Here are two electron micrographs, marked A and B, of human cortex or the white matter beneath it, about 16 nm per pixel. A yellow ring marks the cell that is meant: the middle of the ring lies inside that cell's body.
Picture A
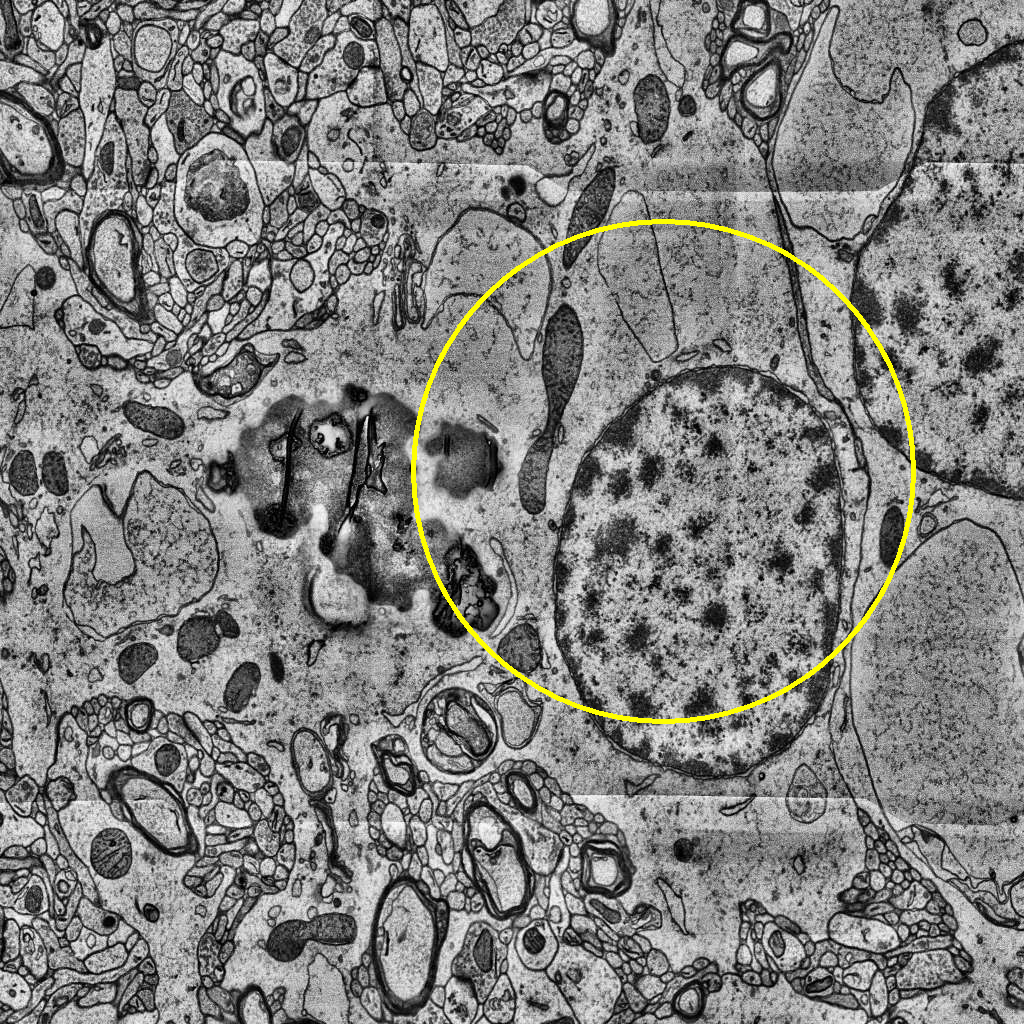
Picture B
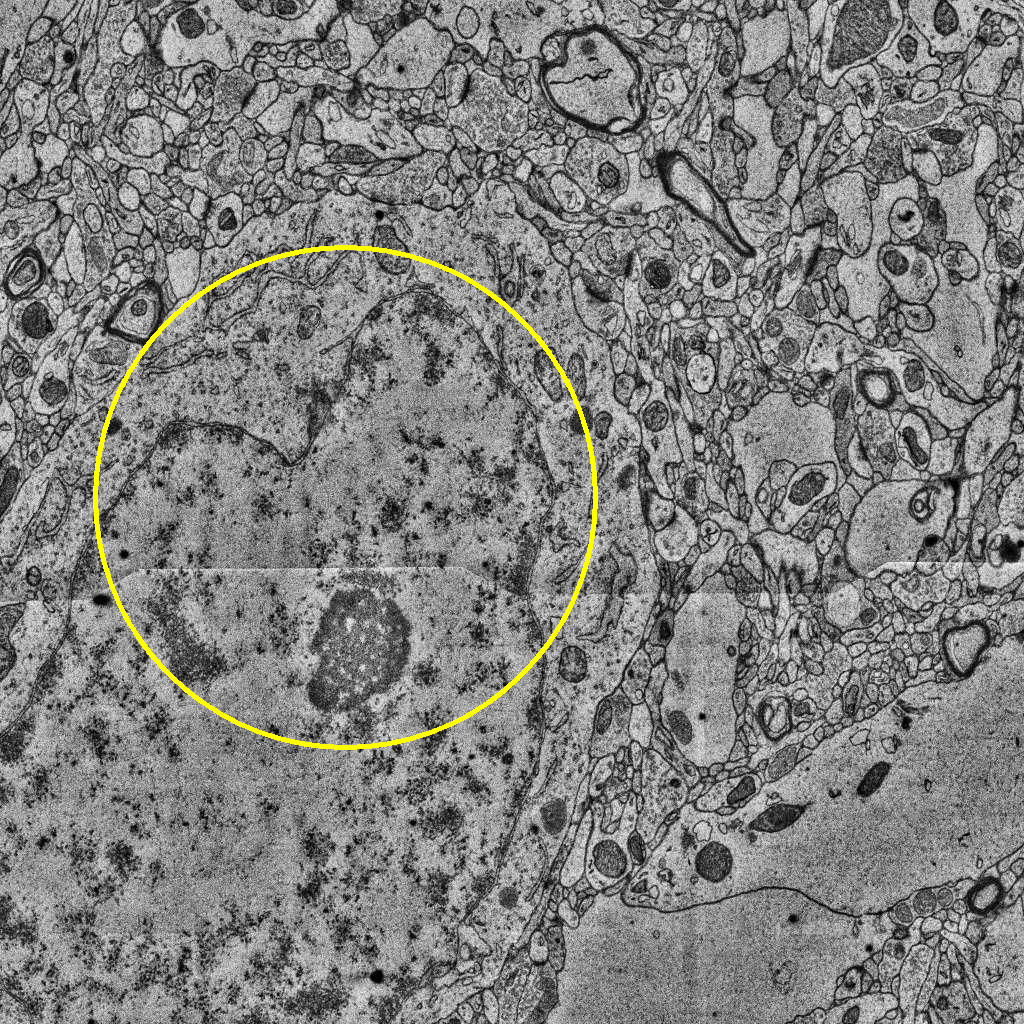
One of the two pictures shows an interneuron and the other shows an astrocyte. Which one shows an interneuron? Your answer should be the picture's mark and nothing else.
B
